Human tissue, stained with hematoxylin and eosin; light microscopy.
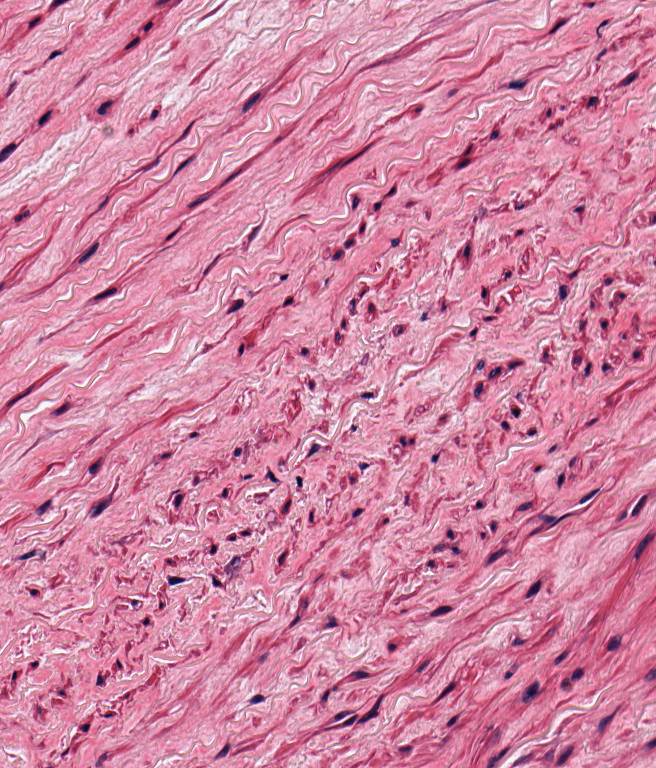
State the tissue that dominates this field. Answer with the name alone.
tunica media of an artery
